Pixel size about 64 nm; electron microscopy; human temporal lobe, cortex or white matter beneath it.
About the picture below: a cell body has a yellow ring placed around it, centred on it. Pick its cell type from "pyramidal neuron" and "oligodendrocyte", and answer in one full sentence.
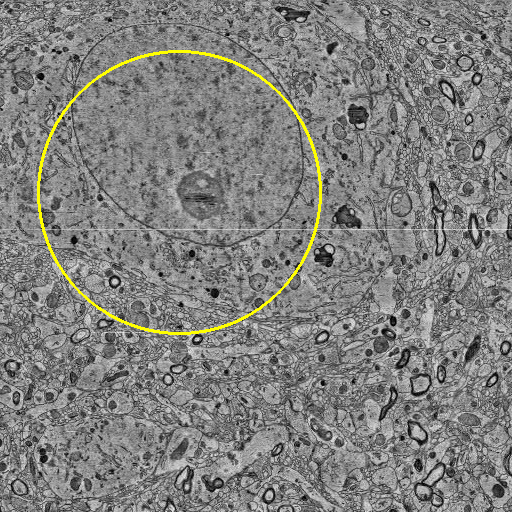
In the picture, a pyramidal neuron is the cell sitting at the centre of the yellow ring.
